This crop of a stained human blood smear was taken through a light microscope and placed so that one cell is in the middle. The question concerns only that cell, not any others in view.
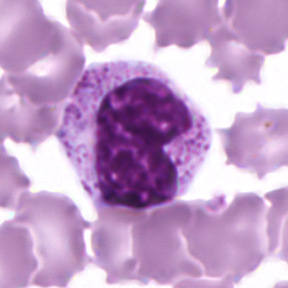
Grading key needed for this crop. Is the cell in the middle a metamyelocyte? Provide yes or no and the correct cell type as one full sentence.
Yes, this is a metamyelocyte, the cell in the middle of the crop.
